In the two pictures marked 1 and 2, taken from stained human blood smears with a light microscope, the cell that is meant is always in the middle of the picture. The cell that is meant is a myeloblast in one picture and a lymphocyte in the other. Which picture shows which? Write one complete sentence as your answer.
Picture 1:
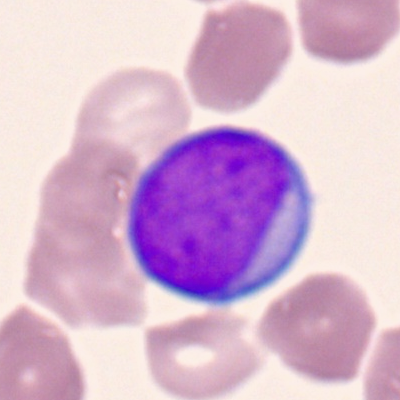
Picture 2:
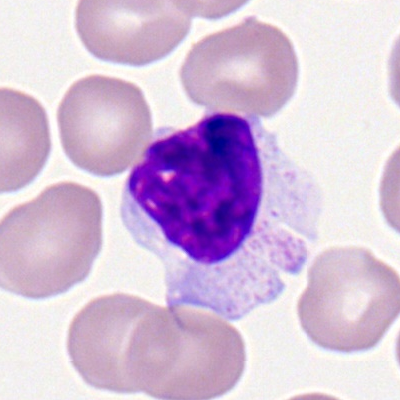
The cell in picture 1 is a myeloblast, and the one in picture 2 is a lymphocyte.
